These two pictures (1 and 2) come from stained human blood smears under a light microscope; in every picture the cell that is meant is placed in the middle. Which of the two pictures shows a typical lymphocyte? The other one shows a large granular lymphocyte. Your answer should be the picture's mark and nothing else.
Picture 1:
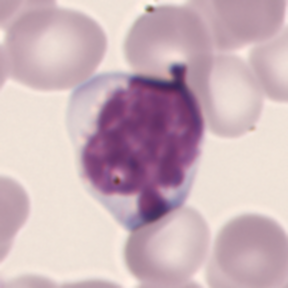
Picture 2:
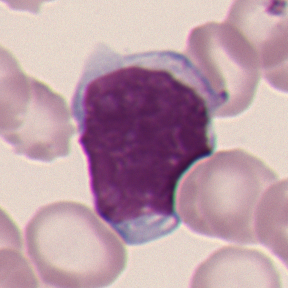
2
